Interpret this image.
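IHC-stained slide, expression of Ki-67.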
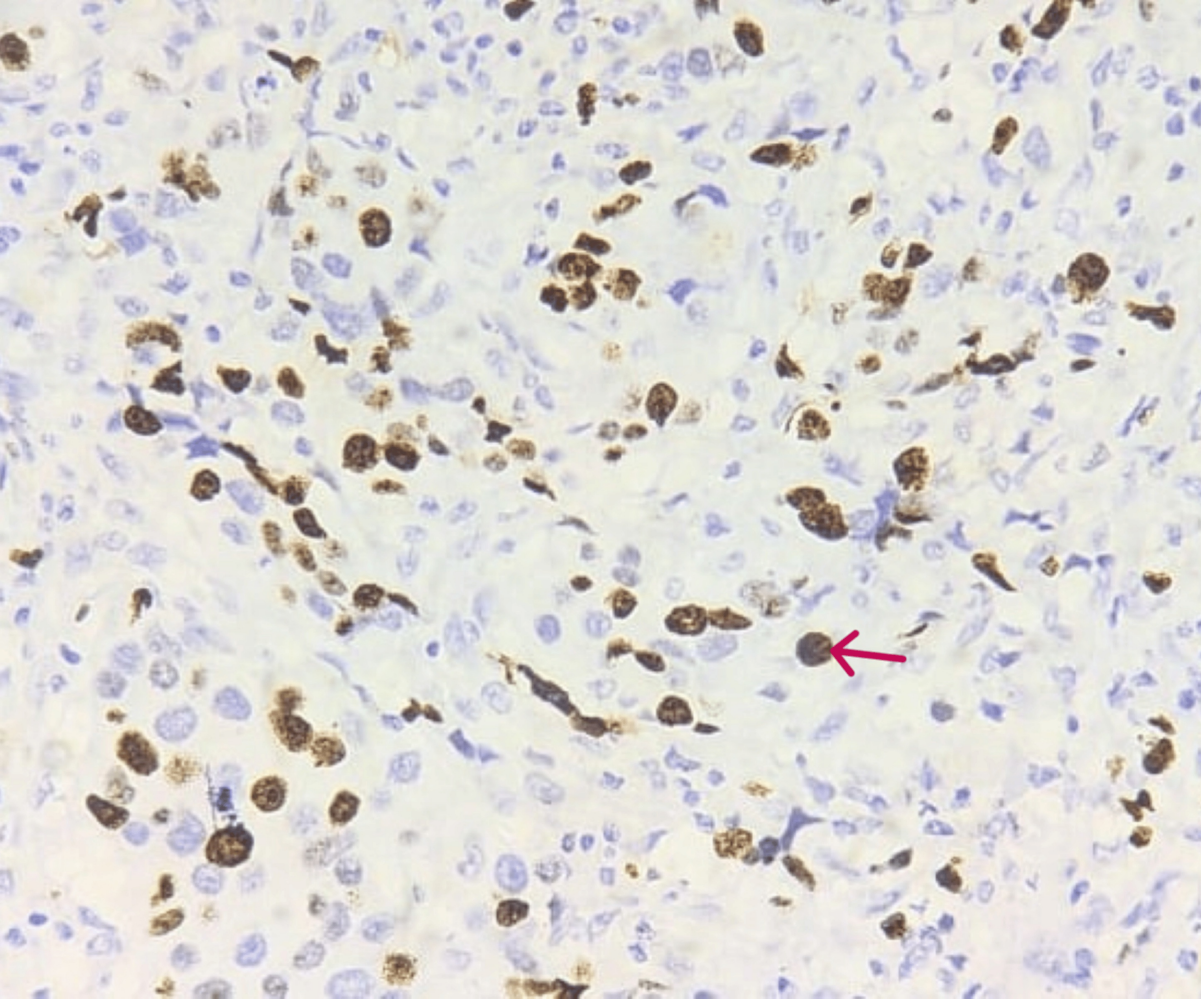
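A cellular field of tumor cells with large, pleomorphic round to oval nuclei scattered in loose sheets within pale stroma. Many nuclei are filled with dense brown, granular stain, while the rest are pale blue with fine chromatin and some show visible nucleoli. The brown stain is confined to the nuclei; the cytoplasm around them stays pale. Stained nuclei are numerous and spread across the whole field, some in small clusters, some elongated and squeezed between stromal strands. Small dark blue spindle nuclei of stromal cells lie between them. This is a tumor with a substantial fraction of nuclei marked.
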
